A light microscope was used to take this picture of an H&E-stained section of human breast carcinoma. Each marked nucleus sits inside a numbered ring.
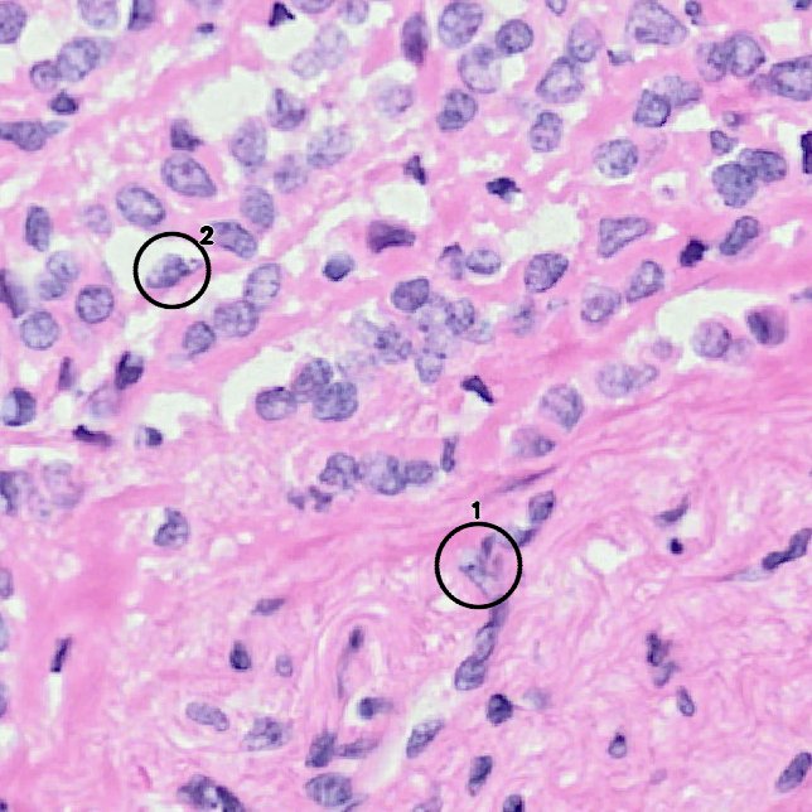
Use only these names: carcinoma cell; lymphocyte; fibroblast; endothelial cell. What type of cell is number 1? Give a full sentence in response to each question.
Identified as an endothelial cell is the cell bearing the number 1.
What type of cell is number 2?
The cell carrying label 2 is identified as a carcinoma cell.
